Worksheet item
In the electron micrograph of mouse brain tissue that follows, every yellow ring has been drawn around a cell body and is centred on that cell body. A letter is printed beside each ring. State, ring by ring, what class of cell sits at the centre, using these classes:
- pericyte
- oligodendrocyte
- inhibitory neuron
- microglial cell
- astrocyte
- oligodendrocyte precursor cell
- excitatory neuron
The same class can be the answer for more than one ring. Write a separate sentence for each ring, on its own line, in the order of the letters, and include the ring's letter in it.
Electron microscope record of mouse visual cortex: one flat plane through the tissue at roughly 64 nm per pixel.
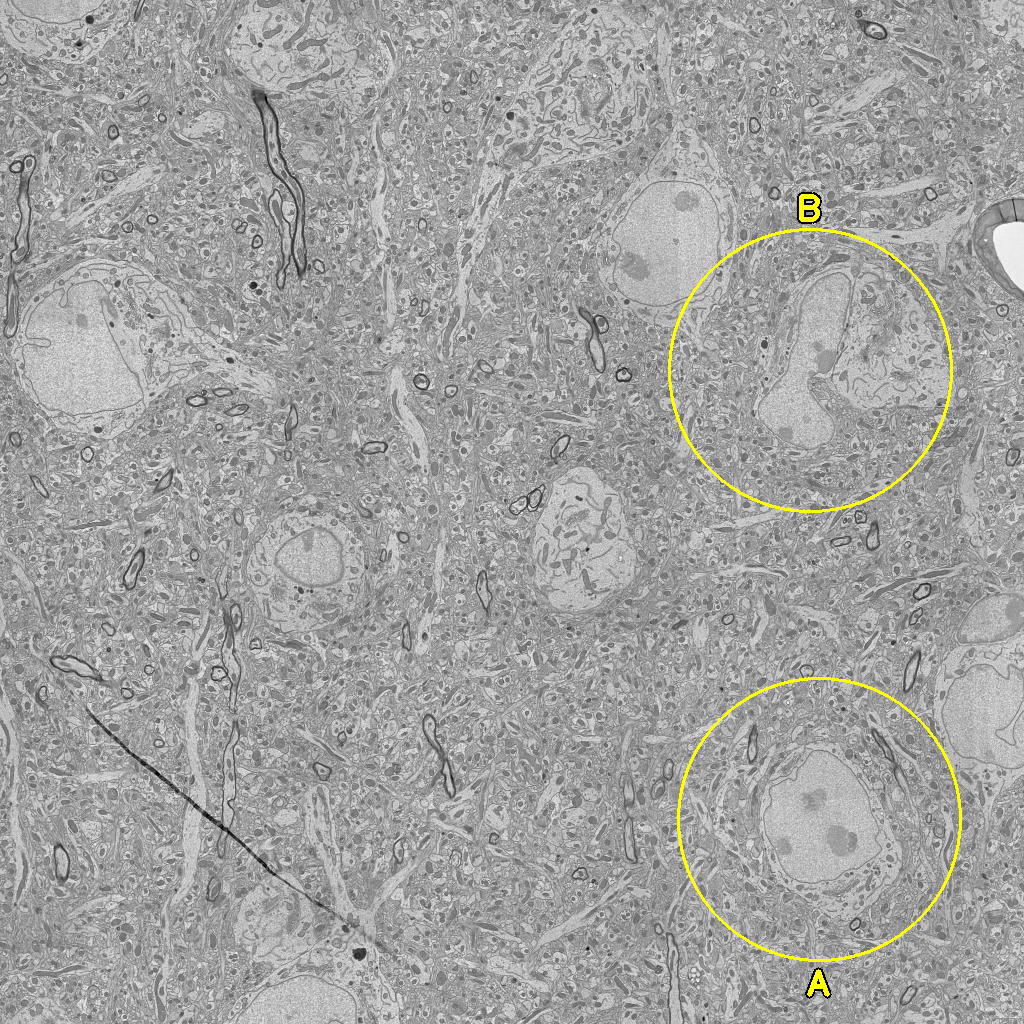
At the centre of ring A sits an excitatory neuron.
At the centre of ring B sits an oligodendrocyte precursor cell.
